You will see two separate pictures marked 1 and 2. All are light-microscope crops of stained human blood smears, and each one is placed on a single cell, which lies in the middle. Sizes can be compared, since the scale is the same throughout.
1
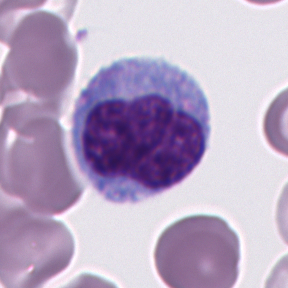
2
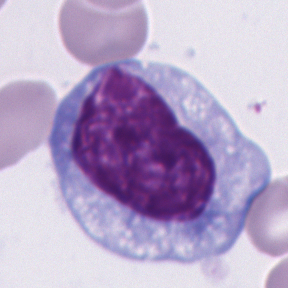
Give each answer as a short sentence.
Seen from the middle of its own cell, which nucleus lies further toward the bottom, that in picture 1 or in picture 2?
It is the nucleus in picture 1 that lies further toward the bottom of its cell.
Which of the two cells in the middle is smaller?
The cell in picture 1 is smaller; the one in picture 2 has about 2 times its area.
